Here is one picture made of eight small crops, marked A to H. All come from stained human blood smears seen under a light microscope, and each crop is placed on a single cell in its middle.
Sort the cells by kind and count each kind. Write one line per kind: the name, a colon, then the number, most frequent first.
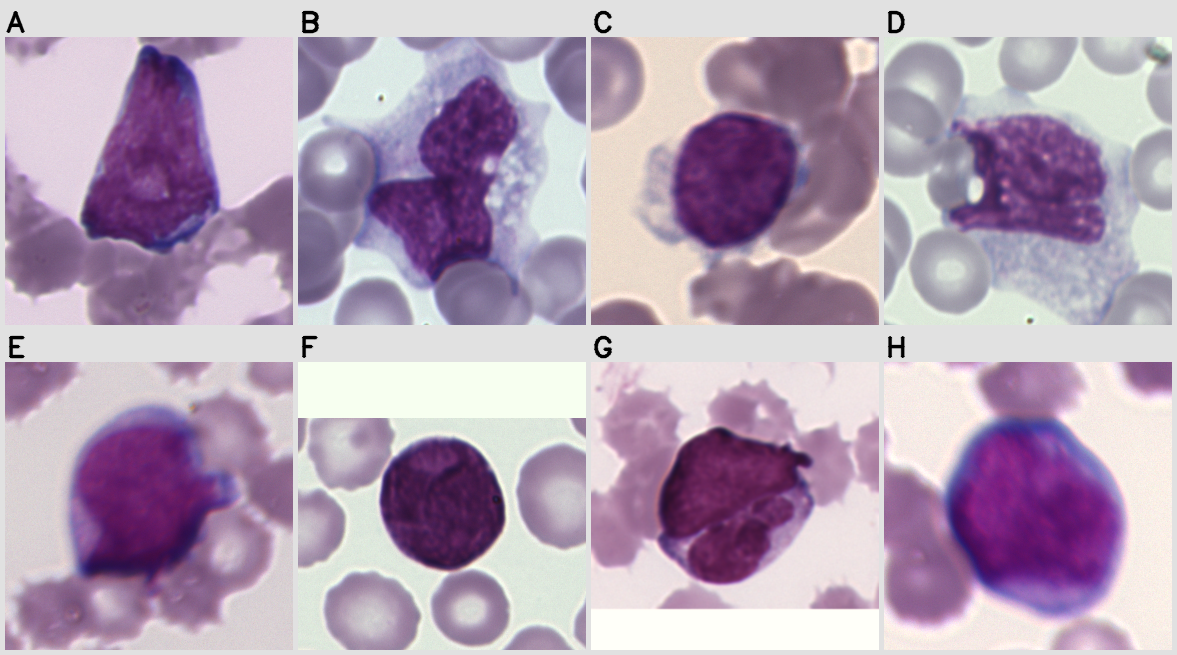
blast: 5
monocyte: 2
hairy cell: 1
